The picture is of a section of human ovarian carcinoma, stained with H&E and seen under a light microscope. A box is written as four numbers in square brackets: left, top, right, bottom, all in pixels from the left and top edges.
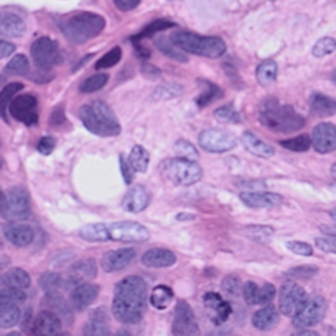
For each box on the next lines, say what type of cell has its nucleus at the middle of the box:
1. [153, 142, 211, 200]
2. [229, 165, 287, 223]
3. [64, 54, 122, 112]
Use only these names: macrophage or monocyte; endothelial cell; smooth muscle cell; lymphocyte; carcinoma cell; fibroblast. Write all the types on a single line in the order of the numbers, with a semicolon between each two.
fibroblast; fibroblast; carcinoma cell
